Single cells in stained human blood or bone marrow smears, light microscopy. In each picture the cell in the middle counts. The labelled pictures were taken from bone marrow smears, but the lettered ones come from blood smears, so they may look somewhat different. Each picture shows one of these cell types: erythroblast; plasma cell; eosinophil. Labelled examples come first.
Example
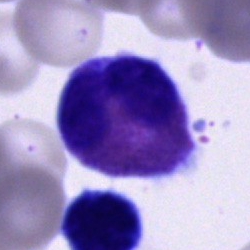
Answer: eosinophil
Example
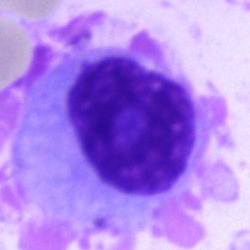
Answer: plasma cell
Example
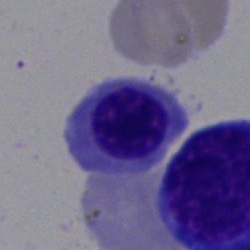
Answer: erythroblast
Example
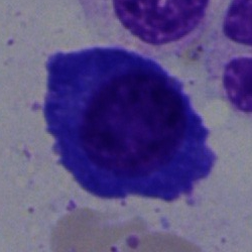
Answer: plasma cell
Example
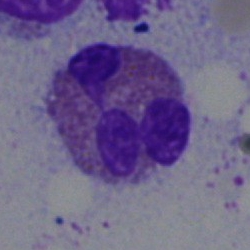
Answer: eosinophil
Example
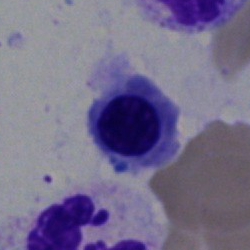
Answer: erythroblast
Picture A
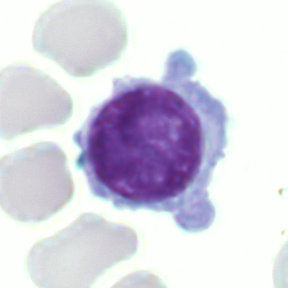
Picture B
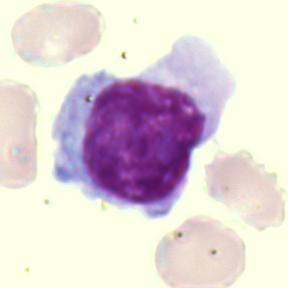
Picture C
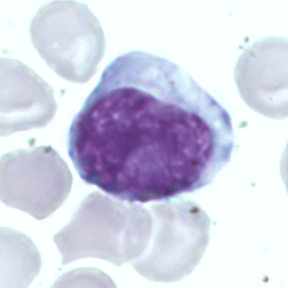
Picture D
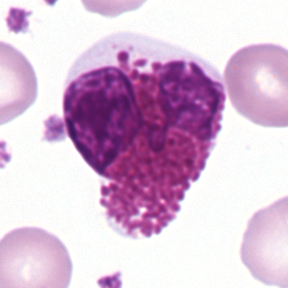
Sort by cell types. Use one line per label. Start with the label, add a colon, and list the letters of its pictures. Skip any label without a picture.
plasma cell: A, B, C
eosinophil: D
